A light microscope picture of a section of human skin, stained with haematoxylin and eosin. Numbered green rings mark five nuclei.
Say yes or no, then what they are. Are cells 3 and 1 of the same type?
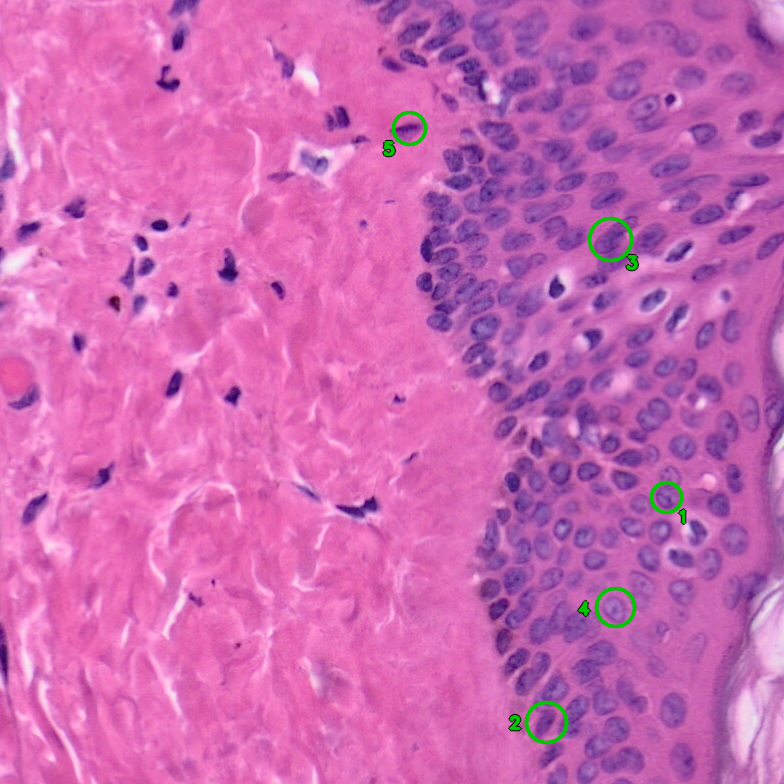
No, cell 3 is a basal keratinocyte and cell 1, for its part, is a suprabasal keratinocyte.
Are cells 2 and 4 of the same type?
No, as for cell 2, it is a basal keratinocyte, and cell 4 is a suprabasal keratinocyte.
